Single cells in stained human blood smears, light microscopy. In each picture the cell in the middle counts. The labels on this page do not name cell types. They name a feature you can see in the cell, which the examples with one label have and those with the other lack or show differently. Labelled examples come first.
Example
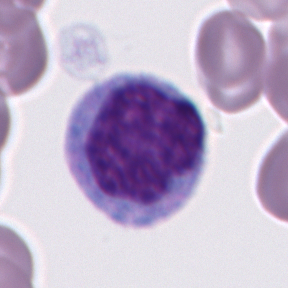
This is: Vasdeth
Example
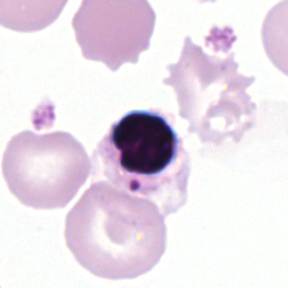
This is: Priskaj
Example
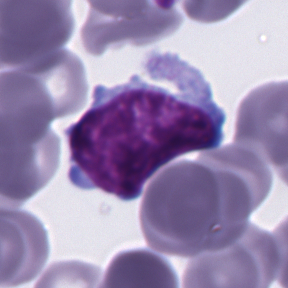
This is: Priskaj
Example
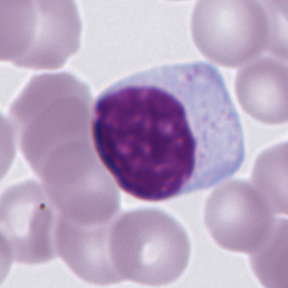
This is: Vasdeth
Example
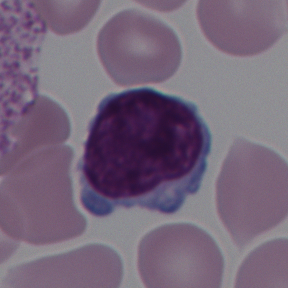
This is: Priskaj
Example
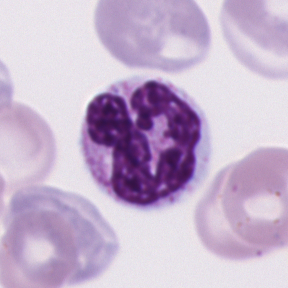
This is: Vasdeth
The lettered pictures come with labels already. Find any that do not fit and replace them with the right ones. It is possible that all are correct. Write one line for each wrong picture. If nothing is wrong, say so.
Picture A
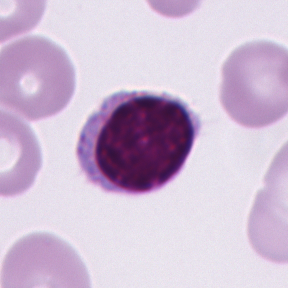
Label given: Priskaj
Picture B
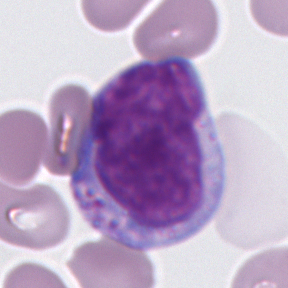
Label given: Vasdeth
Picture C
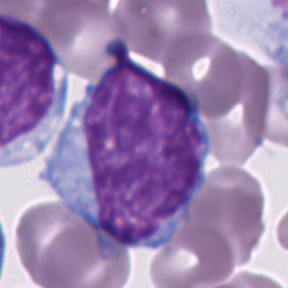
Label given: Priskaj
No label is wrong.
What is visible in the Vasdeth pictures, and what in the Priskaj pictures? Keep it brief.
In Vasdeth: smooth outline. In Priskaj: ragged outline or projections.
